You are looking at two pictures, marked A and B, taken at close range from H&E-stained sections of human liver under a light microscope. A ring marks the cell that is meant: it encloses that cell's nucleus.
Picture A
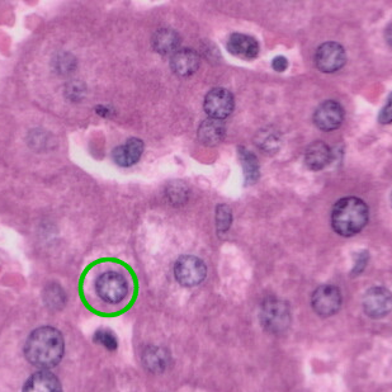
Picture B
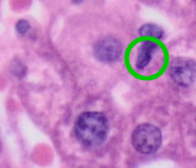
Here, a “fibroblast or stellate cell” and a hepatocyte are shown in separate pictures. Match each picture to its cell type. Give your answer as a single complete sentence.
Picture B shows a “fibroblast or stellate cell”, while picture A shows a hepatocyte.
